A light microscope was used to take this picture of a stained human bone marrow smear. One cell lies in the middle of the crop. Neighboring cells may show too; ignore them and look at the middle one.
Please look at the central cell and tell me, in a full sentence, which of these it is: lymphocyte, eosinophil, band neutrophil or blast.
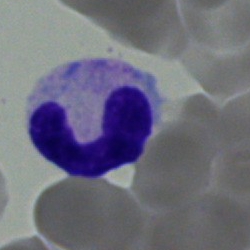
To answer, the cell in the center of the crop is a band neutrophil.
